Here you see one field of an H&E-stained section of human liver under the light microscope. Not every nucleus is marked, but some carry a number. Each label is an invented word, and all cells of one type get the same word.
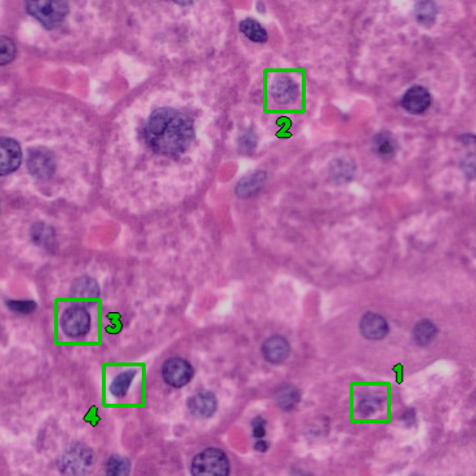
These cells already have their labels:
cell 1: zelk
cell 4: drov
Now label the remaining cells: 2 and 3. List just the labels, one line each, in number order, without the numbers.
zelk
zelk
